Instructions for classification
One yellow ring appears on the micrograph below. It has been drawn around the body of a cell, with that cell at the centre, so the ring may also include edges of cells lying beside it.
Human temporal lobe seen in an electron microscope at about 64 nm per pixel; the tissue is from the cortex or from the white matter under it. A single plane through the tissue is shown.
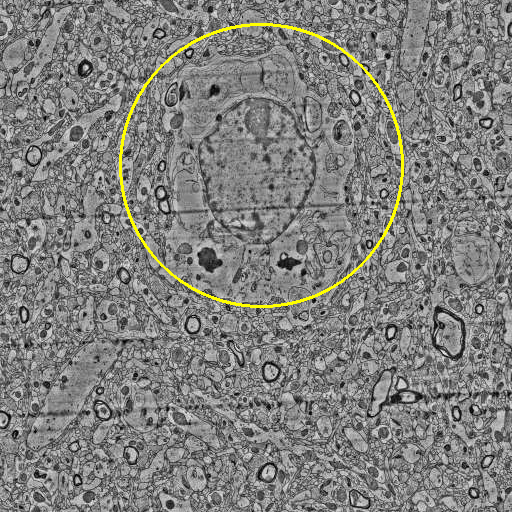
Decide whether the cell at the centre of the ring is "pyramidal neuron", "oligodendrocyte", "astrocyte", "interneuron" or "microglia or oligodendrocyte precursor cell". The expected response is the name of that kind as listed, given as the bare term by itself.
astrocyte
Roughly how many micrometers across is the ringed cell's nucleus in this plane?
The nucleus appears roughly 9 by 8 micrometres in this plane.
